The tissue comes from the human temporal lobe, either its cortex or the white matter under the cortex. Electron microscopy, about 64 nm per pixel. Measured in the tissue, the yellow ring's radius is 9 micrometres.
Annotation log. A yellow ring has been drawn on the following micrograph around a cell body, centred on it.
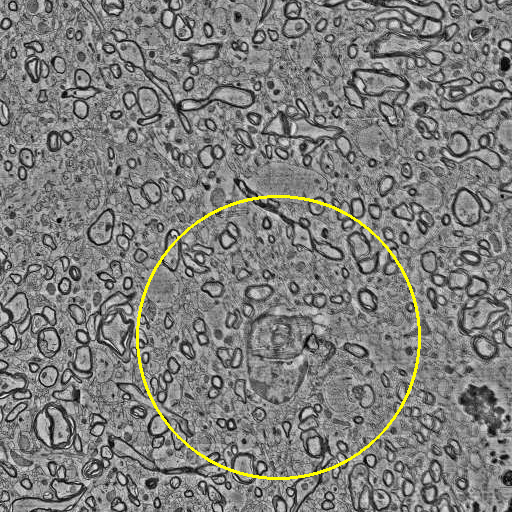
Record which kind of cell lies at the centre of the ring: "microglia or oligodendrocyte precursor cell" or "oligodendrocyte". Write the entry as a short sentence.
The cell the ring is centred on is a microglial cell or oligodendrocyte precursor cell.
